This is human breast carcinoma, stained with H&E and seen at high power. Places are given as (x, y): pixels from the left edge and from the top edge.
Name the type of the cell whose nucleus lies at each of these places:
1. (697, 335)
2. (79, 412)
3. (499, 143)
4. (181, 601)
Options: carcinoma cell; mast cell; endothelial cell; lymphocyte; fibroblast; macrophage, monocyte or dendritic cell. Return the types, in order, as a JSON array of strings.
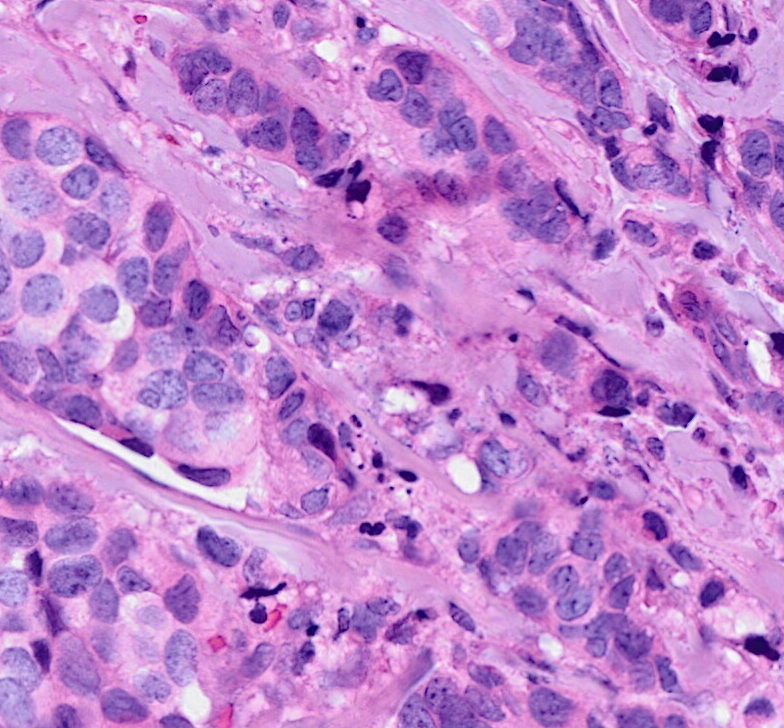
["endothelial cell", "carcinoma cell", "carcinoma cell", "carcinoma cell"]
